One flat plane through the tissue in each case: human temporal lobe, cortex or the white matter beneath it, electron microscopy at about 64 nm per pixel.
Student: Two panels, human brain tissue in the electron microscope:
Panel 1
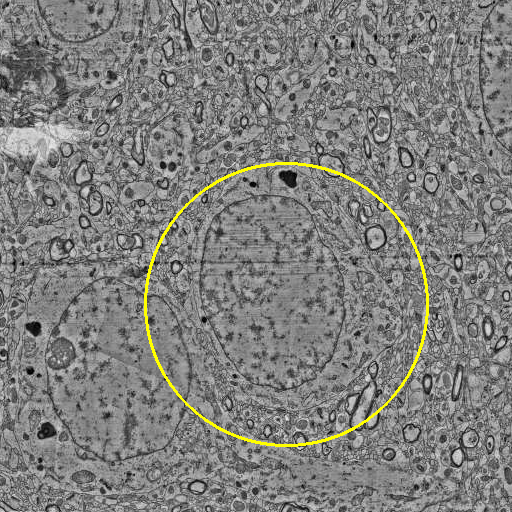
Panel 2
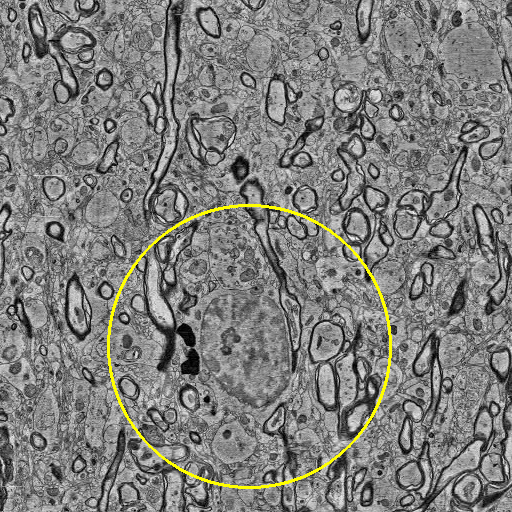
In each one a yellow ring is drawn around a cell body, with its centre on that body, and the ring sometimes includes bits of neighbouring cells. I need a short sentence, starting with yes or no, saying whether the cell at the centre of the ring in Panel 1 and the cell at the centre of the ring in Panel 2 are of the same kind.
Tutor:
No, they are two kinds of cell.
